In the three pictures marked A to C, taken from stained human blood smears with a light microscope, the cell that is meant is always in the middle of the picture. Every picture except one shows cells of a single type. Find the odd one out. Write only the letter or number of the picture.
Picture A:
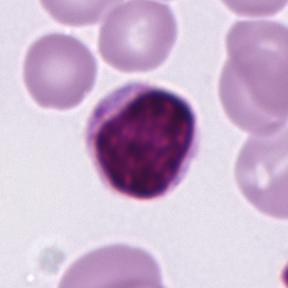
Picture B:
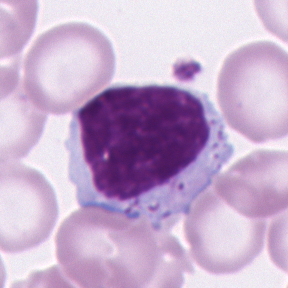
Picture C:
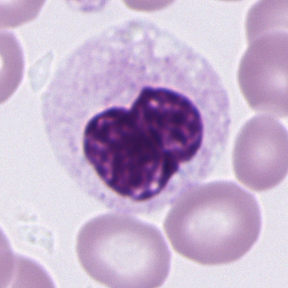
C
